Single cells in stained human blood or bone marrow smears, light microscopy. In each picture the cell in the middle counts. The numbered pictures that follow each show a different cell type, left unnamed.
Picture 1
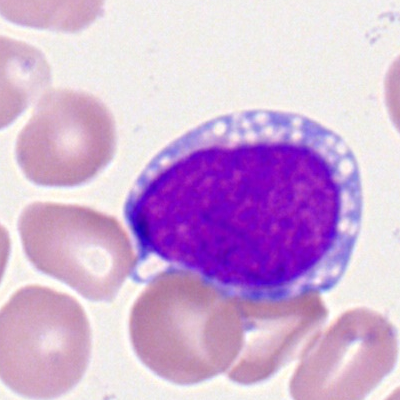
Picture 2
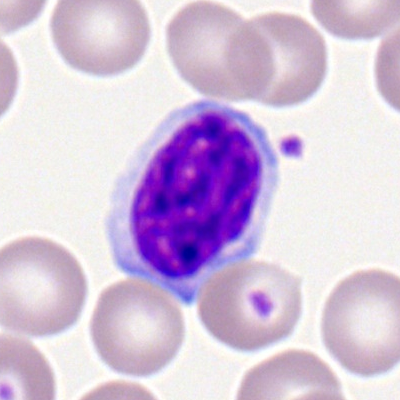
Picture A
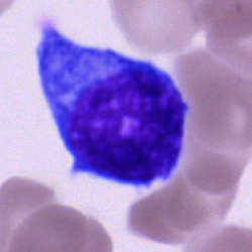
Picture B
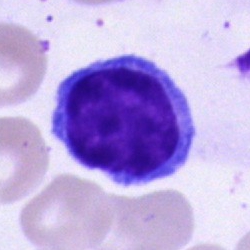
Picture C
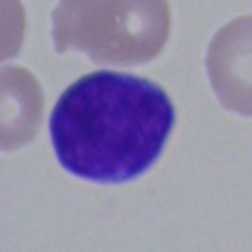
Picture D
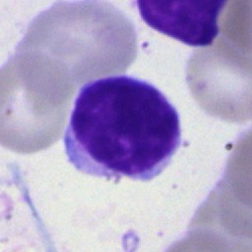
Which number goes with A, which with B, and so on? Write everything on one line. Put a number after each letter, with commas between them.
A 1, B 2, C 1, D 2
